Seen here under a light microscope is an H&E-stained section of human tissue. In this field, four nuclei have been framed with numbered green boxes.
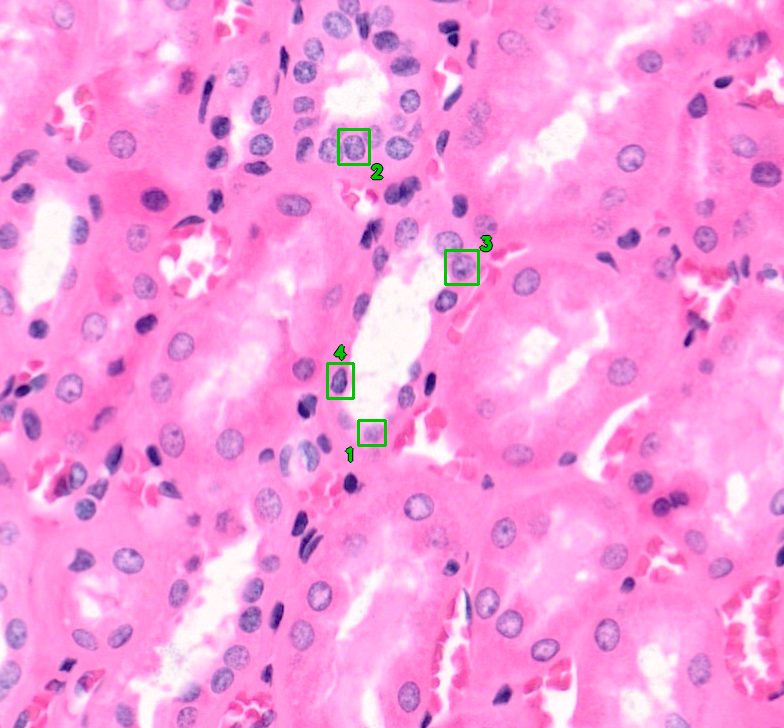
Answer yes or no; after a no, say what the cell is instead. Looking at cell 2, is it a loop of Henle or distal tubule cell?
No, it is a collecting duct cell.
